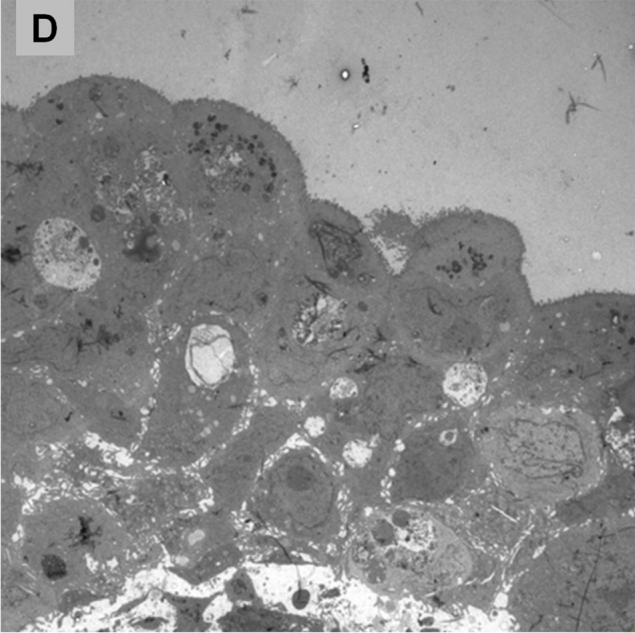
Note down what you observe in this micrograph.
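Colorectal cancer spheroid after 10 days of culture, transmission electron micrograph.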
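The outermost cells bulge outward and carry a fringe of fine projections on their free surface. Nuclei vary in size and outline from cell to cell. The cytoplasm holds numerous vacuoles, some large and pale with granular content, others filled with dense particles. Deeper down, the tissue is looser, with pale clefts between cells.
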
